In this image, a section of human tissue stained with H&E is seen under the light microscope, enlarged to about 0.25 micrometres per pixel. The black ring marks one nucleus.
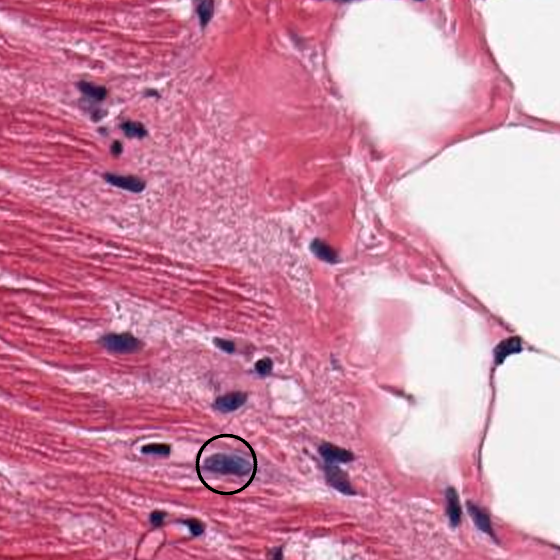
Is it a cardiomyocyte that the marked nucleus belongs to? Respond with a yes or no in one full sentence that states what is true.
Yes, a cardiomyocyte contains the marked nucleus.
